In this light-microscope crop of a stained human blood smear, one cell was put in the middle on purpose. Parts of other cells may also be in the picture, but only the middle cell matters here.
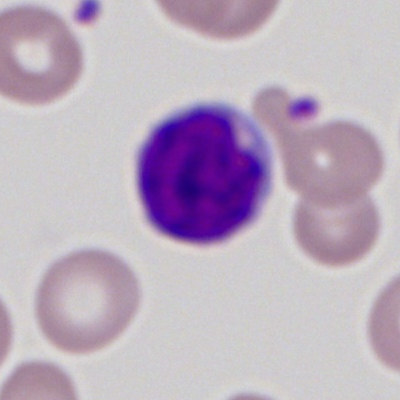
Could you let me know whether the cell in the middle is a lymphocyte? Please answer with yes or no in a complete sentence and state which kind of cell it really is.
Yes, that is right: the middle cell is a lymphocyte.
